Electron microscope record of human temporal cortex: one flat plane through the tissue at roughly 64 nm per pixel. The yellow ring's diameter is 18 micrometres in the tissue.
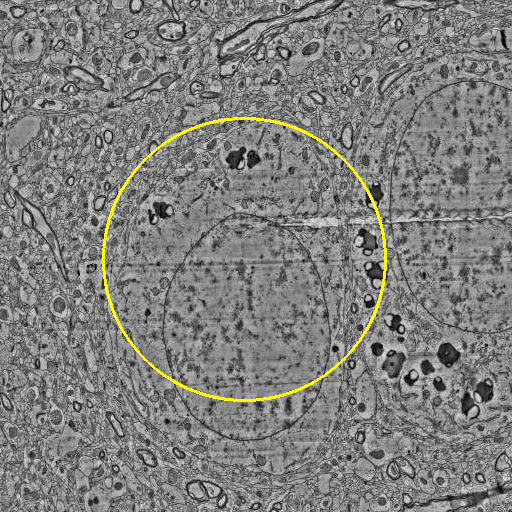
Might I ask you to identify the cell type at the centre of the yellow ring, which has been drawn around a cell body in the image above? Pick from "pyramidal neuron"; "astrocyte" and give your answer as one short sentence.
The centre of the ring falls on a pyramidal neuron.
